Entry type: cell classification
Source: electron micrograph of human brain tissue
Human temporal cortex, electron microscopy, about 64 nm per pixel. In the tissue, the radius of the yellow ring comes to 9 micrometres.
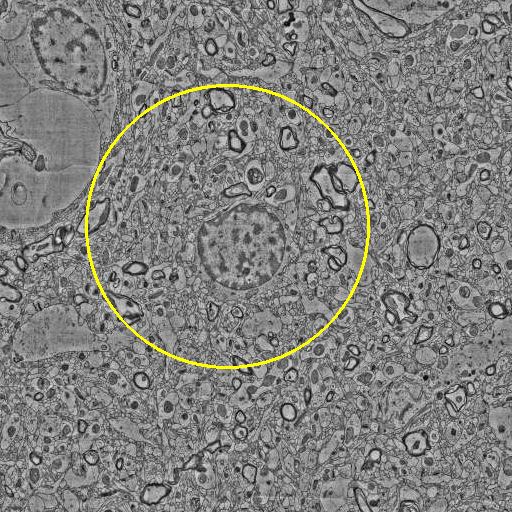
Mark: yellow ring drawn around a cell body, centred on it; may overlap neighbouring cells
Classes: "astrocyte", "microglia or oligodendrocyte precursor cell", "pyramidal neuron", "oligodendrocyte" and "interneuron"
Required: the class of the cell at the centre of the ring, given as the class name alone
oligodendrocyte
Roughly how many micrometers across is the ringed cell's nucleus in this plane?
Approximately 6 micrometres across, in this plane.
